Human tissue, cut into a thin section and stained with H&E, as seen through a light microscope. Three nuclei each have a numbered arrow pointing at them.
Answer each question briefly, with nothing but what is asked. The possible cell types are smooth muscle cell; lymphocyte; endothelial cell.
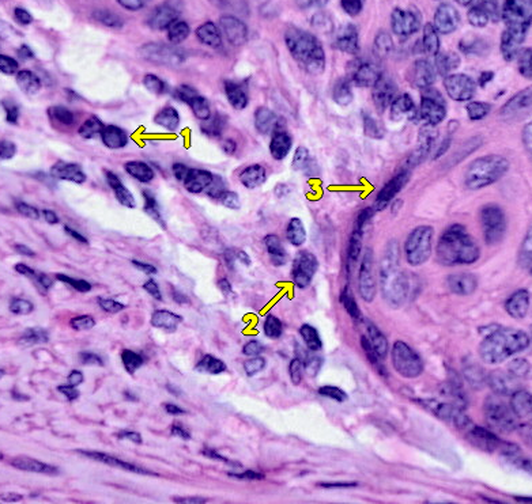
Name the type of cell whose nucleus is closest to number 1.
lymphocyte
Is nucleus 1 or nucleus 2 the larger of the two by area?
2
